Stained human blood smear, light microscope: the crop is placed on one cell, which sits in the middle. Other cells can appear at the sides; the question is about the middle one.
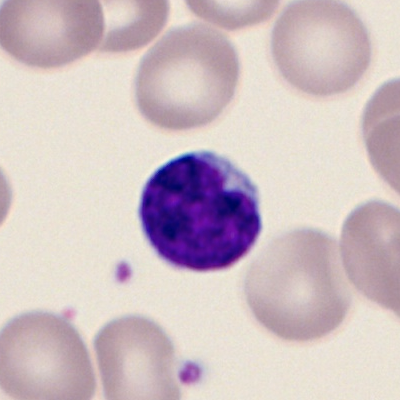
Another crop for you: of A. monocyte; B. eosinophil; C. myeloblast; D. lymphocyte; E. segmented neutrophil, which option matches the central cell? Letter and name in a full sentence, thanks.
The best answer is option D, since the cell in the middle is a lymphocyte.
